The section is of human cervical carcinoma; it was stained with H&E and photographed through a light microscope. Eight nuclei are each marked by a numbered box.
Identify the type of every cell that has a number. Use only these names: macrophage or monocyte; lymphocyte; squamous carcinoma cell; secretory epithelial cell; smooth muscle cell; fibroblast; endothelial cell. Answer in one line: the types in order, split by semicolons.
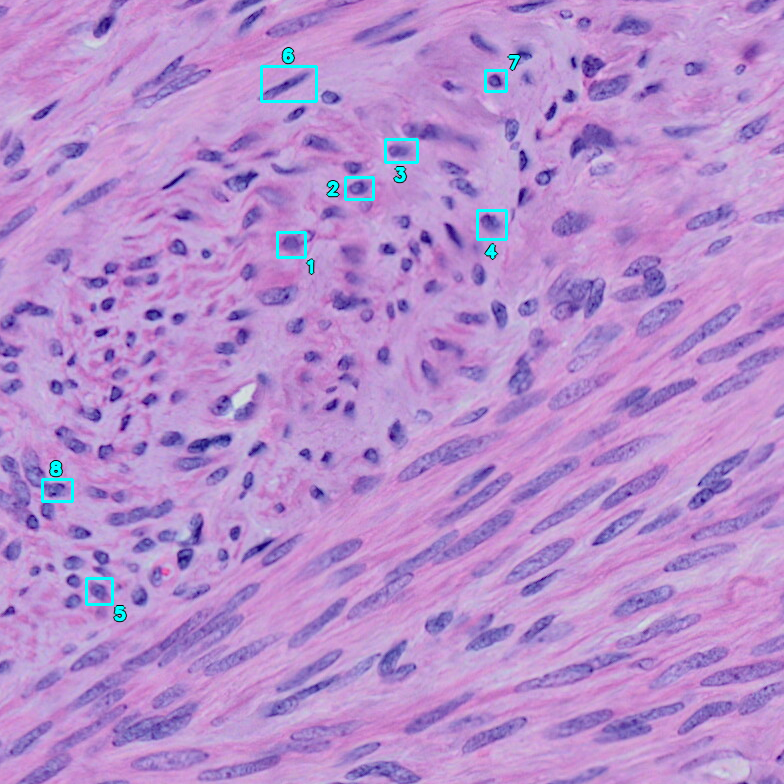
smooth muscle cell; smooth muscle cell; fibroblast; fibroblast; smooth muscle cell; fibroblast; fibroblast; smooth muscle cell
